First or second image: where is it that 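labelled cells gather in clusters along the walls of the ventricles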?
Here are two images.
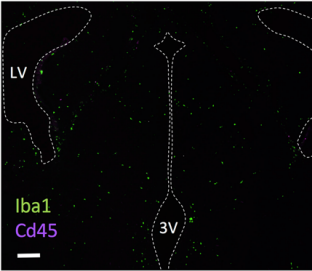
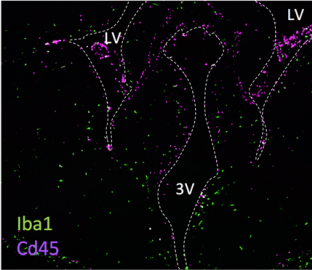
The second image.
